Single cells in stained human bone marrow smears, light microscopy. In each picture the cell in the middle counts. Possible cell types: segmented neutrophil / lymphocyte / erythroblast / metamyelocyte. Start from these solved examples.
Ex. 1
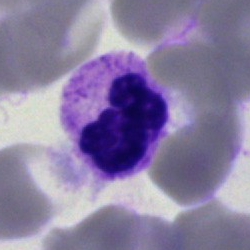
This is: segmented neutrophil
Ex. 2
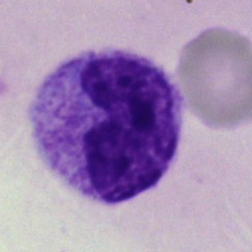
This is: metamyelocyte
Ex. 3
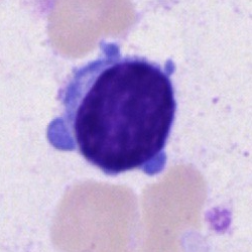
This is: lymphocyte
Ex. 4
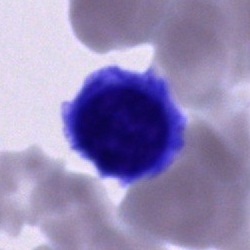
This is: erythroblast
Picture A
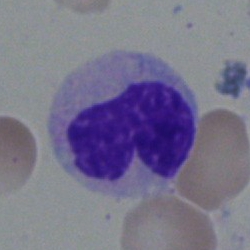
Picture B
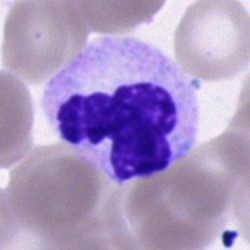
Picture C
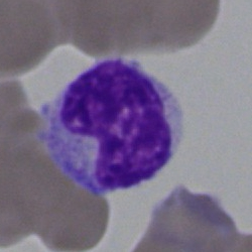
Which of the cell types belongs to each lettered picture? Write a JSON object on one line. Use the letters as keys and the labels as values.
{"A": "metamyelocyte", "B": "segmented neutrophil", "C": "metamyelocyte"}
